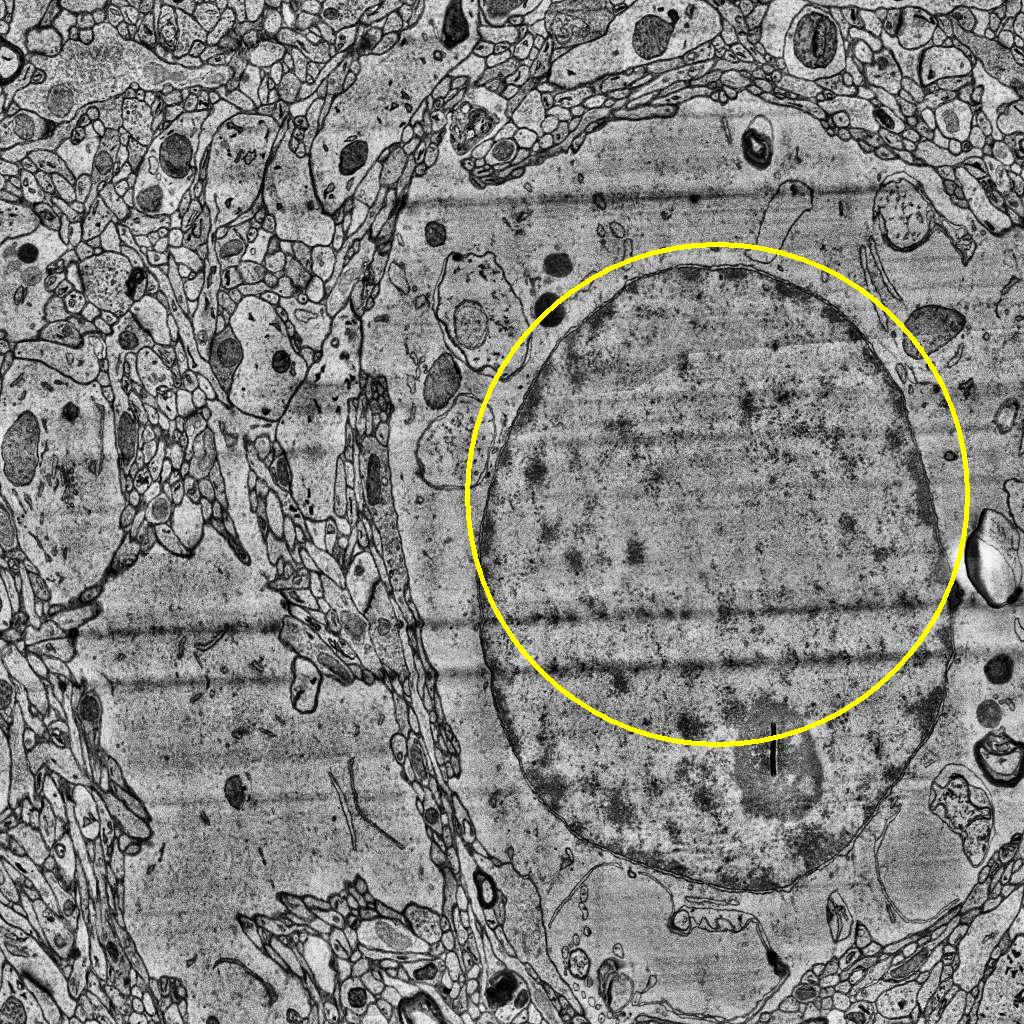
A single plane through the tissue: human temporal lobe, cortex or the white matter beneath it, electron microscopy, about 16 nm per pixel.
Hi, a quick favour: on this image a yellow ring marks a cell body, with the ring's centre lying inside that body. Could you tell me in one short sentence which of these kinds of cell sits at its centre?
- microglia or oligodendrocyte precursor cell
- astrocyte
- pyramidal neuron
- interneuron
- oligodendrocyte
The ring's centre lies in an astrocyte.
